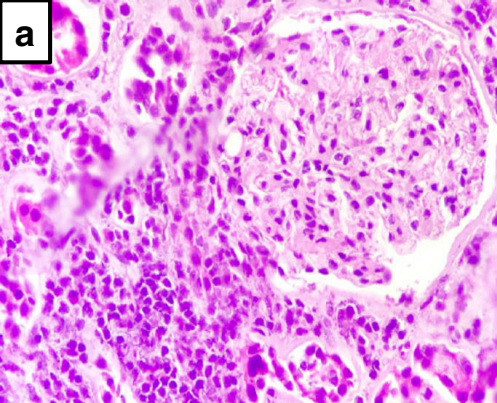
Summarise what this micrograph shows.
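Renal cortex with a glomerulus at upper right and surrounding tubules. The interstitium on the left and below is crowded with small round dark nuclei of inflammatory cells.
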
